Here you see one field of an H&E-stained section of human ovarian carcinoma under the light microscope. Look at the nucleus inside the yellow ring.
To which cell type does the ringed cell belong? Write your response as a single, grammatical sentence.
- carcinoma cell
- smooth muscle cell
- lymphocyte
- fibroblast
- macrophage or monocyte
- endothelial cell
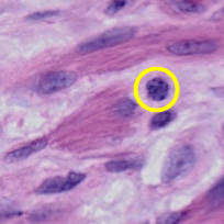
Within this tissue, the ringed cell is a lymphocyte.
